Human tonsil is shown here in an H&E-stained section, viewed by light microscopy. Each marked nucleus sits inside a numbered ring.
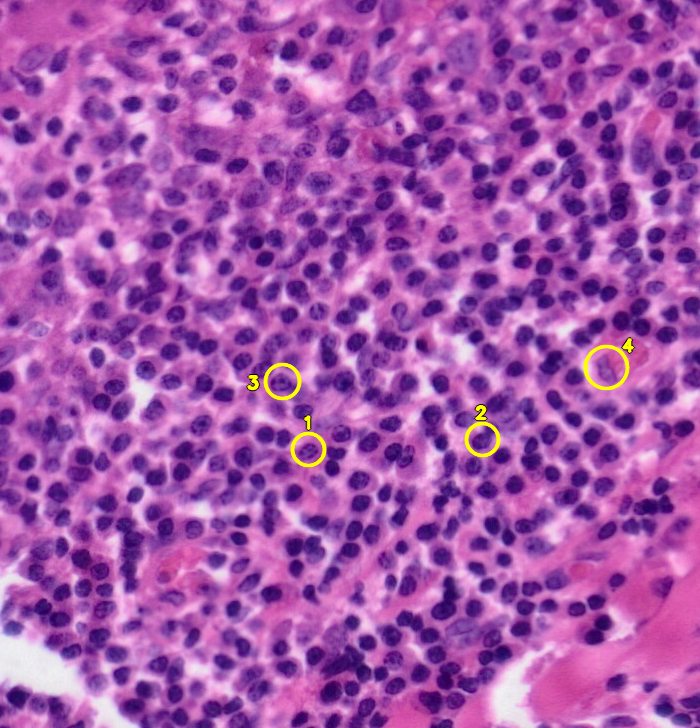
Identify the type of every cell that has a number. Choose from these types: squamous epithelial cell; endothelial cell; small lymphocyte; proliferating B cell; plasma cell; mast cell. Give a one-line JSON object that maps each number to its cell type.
{"1": "plasma cell", "2": "plasma cell", "3": "plasma cell", "4": "endothelial cell"}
